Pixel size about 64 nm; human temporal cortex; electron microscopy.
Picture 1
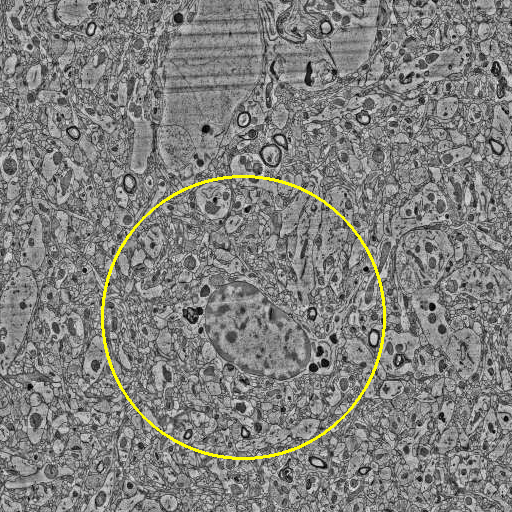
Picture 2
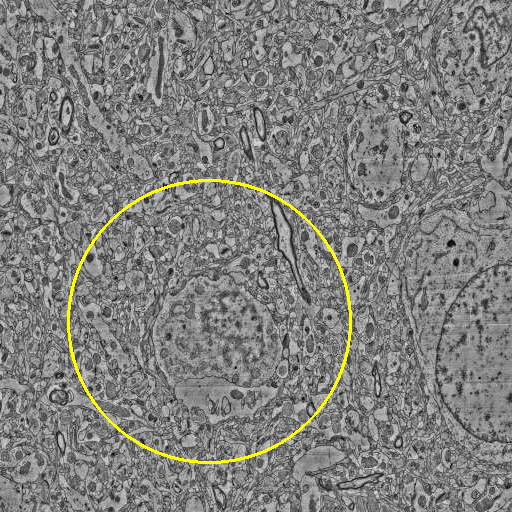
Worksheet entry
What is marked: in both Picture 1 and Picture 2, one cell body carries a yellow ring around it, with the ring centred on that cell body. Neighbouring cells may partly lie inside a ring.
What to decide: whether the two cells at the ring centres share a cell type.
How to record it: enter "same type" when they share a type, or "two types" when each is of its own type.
two types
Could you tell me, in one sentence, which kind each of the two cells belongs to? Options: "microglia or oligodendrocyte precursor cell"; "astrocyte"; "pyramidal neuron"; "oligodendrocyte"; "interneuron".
At the centre of the first ring sits a microglial cell or oligodendrocyte precursor cell, and at the centre of the second sits an interneuron.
